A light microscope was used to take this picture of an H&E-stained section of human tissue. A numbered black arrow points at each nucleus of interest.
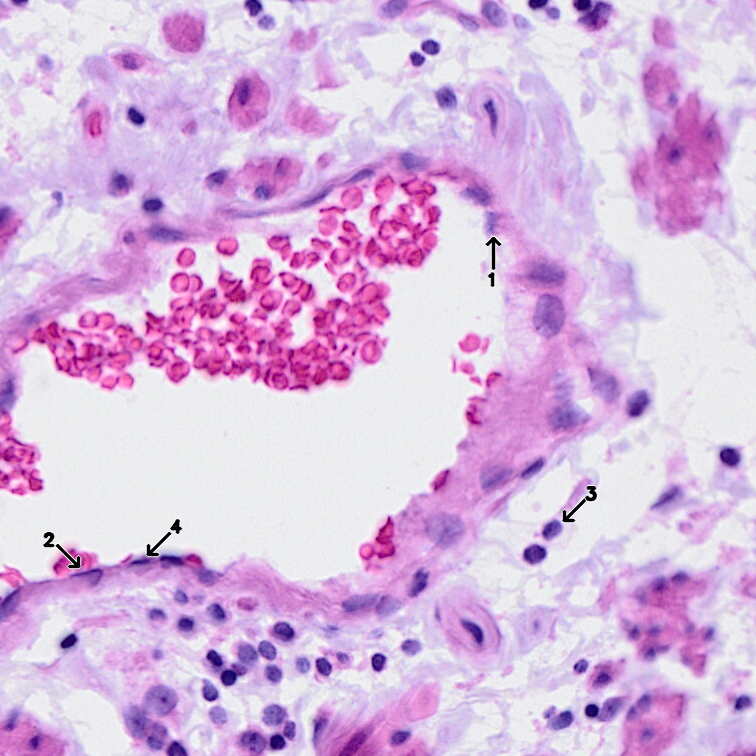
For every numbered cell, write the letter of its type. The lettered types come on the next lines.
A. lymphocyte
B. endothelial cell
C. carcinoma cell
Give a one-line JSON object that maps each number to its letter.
{"1": "B", "2": "B", "3": "A", "4": "B"}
